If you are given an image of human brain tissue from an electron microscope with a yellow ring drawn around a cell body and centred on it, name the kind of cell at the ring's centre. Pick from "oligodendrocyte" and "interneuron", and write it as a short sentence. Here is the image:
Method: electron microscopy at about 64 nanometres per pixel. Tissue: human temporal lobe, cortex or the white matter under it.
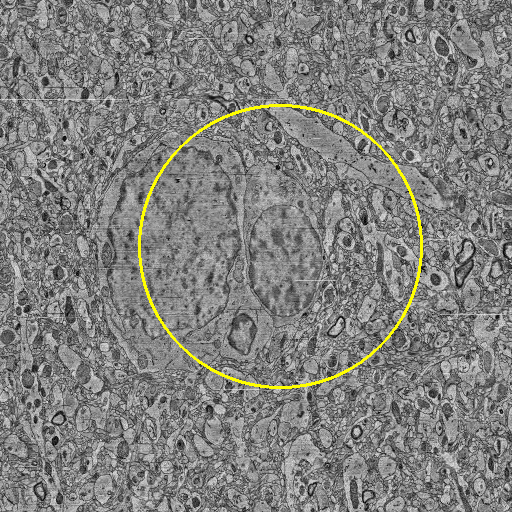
The cell at the ring's centre is an oligodendrocyte.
